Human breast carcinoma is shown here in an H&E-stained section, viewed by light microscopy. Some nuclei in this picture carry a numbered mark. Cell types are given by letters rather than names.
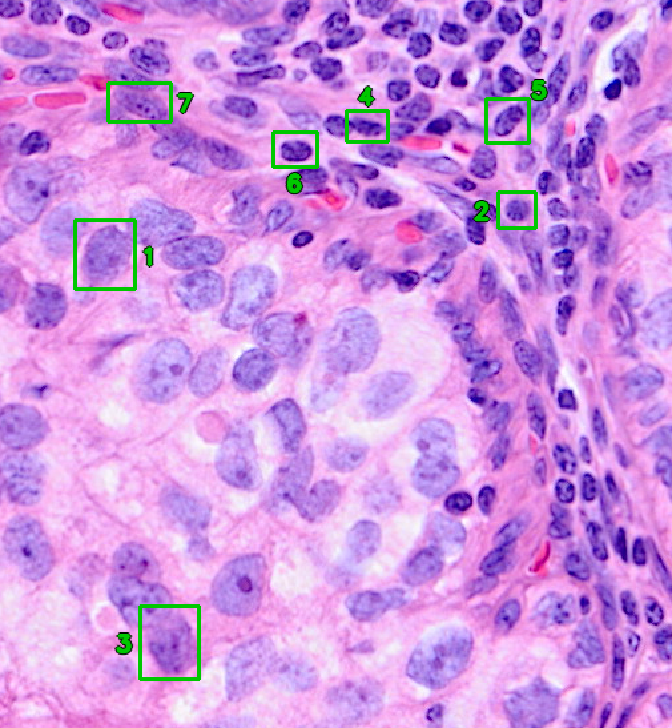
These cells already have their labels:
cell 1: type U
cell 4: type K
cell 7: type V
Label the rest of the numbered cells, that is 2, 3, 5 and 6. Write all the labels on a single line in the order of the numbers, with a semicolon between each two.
type K; type U; type K; type K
